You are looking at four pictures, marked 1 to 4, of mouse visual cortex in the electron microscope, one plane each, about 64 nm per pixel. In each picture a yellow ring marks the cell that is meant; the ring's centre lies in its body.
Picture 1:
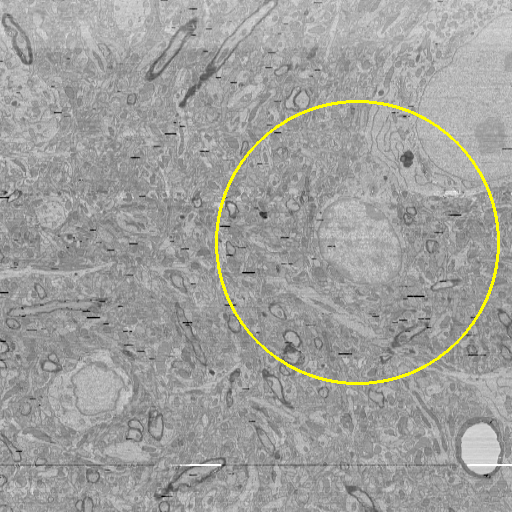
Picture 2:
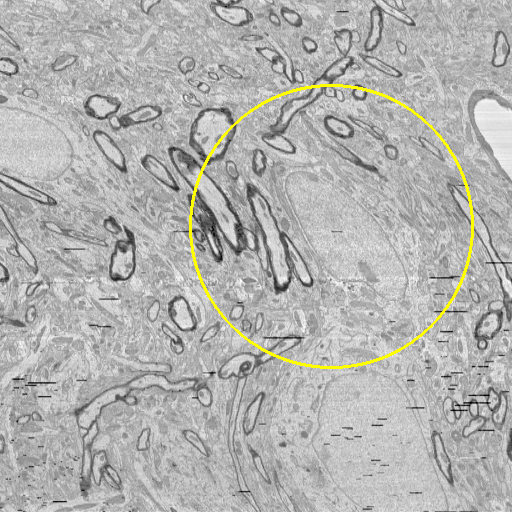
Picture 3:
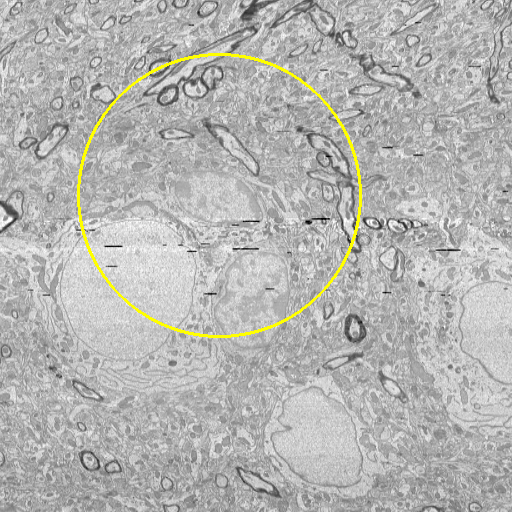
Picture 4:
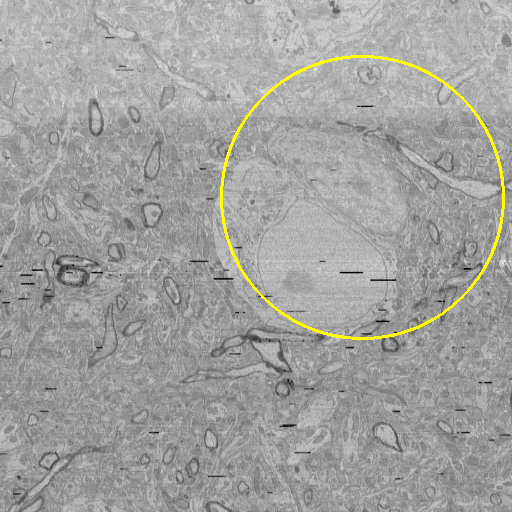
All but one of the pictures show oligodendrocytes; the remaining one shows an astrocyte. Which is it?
Picture 2 is the one that shows the astrocyte.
